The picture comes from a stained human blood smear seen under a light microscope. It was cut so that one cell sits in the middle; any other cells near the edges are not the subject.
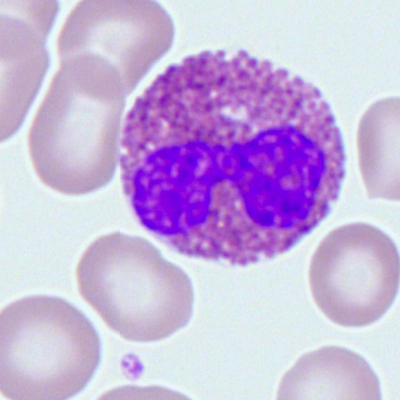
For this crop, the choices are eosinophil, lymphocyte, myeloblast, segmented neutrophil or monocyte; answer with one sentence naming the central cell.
The cell centred in this crop is categorized as an eosinophil.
